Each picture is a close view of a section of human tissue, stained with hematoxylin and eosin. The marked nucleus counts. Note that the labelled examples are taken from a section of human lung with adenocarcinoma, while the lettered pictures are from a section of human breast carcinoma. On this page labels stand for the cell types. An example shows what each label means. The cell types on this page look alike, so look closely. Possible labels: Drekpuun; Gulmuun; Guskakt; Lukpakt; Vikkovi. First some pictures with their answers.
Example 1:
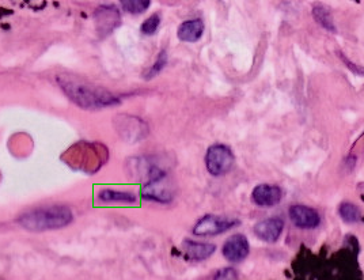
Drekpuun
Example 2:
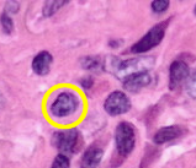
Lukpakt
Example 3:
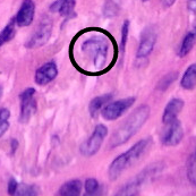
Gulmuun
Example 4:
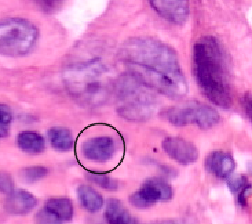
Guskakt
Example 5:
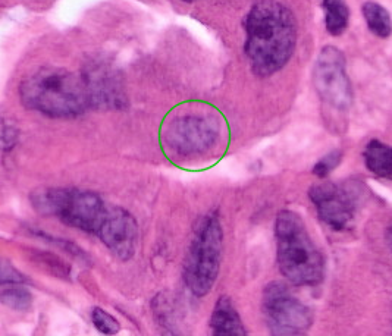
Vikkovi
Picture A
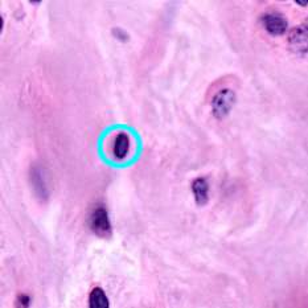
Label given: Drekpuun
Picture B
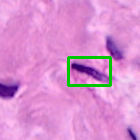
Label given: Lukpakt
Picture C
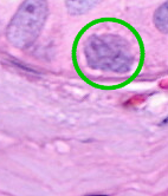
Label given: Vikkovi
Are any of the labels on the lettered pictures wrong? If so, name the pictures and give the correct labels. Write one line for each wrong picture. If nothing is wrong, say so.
A: change Drekpuun to Guskakt
B: change Lukpakt to Gulmuun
